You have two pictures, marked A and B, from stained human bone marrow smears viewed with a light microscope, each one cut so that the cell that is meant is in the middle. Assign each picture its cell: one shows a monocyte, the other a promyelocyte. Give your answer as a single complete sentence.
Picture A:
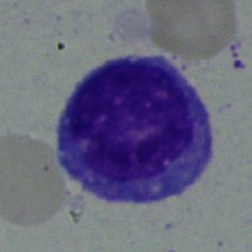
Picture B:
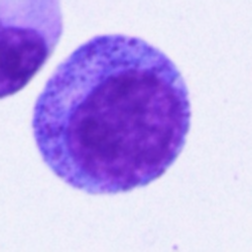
Picture A is of a monocyte, and picture B is of a promyelocyte.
